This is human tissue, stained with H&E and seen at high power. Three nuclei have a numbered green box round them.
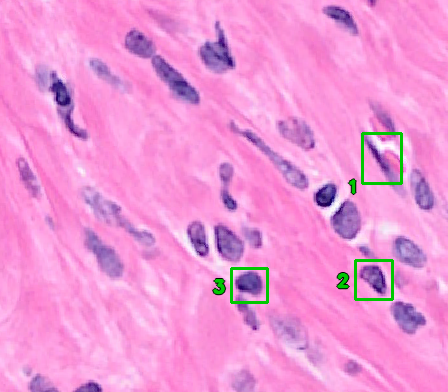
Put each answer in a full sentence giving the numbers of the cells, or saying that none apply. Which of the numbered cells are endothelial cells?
The sole numbered cell that is an endothelial cell is cell 1.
